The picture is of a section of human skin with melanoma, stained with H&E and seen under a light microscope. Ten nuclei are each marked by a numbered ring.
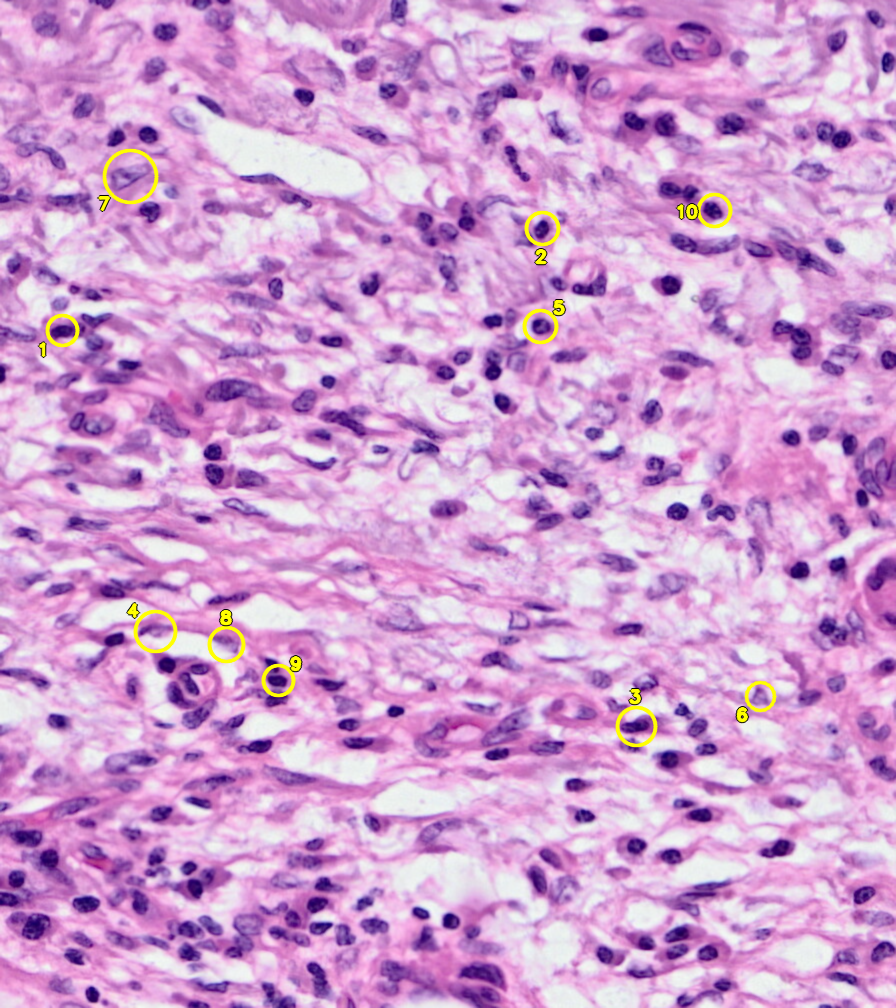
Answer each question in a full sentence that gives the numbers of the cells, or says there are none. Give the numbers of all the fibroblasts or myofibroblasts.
The cells numbered 4, 6, 7 and 8 are, by type, fibroblasts or myofibroblasts.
